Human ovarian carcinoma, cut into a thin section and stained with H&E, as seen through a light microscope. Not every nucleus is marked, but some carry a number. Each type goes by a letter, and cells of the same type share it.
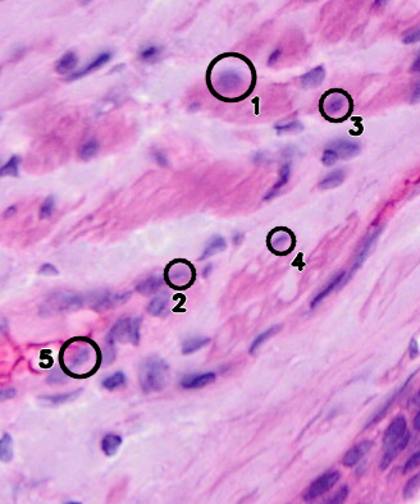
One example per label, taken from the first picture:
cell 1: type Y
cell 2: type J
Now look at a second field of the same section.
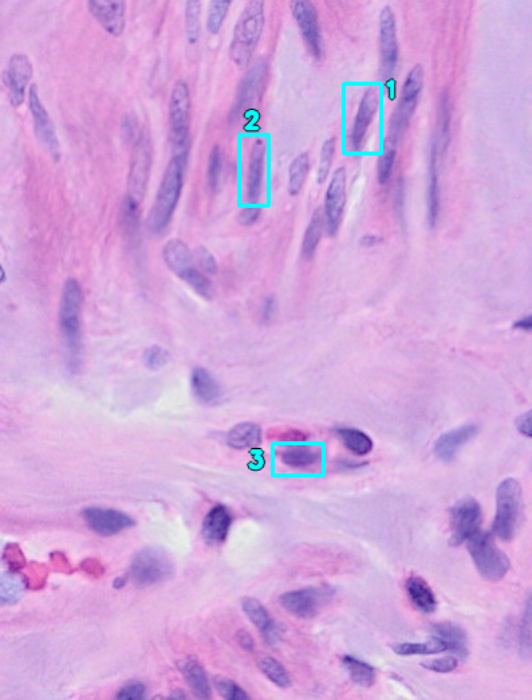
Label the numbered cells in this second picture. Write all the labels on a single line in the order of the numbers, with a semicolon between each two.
type Y; type Y; type J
